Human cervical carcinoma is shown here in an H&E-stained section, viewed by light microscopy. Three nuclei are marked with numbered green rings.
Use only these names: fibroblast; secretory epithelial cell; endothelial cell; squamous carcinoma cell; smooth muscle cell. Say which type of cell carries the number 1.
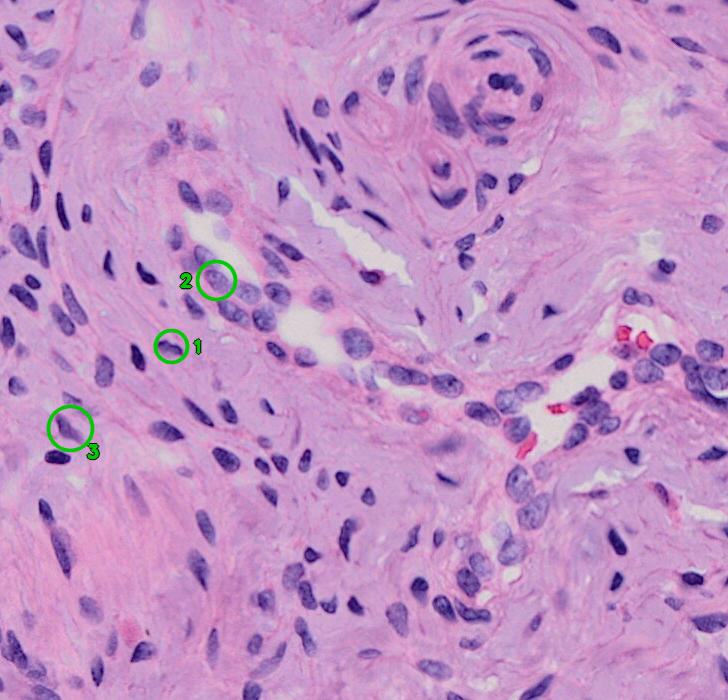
fibroblast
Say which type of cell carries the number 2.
endothelial cell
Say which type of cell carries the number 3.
fibroblast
